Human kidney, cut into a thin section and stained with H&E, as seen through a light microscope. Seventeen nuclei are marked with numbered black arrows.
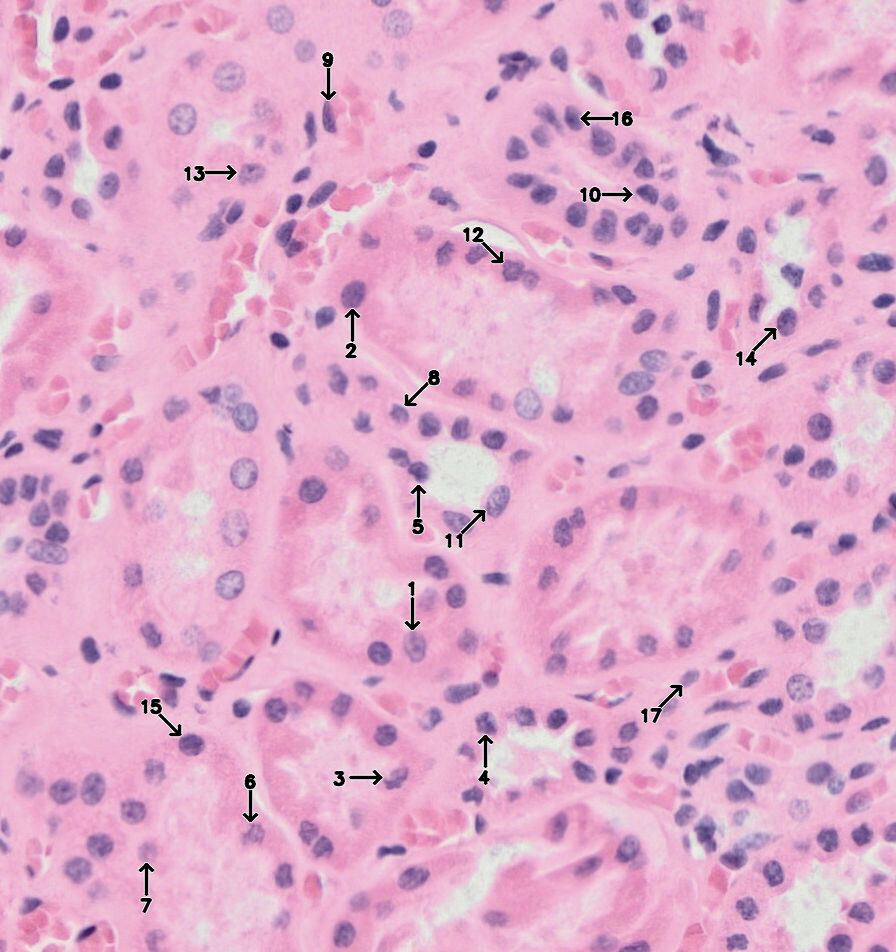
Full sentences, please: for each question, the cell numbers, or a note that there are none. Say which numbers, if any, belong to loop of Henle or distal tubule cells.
In short, the numbered cells 4, 5, 8, 11 and 14 are loop of Henle or distal tubule cells.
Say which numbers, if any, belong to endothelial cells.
Here, the cells that carry numbers 9 and 17 are endothelial cells.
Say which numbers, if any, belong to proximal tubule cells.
The cells picked out by numbers 1, 2, 3, 6, 7, 12, 13 and 15 are proximal tubule cells.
